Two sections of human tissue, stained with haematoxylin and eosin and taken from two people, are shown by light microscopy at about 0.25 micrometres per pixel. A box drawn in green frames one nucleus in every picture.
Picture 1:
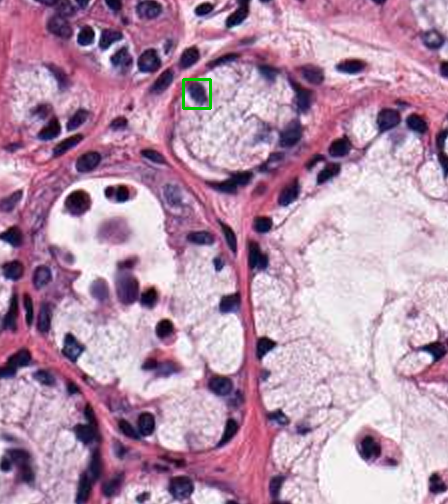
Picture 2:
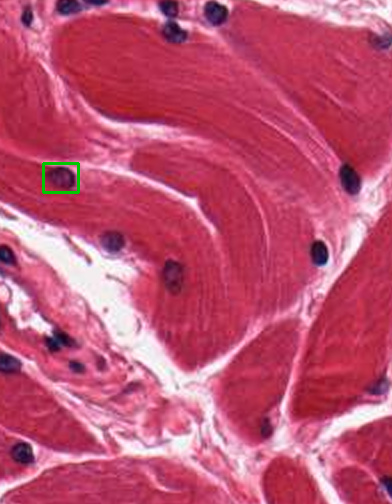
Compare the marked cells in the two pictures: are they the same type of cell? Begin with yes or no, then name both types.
No, the first is a mucous gland cell and the second a skeletal muscle fibre.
